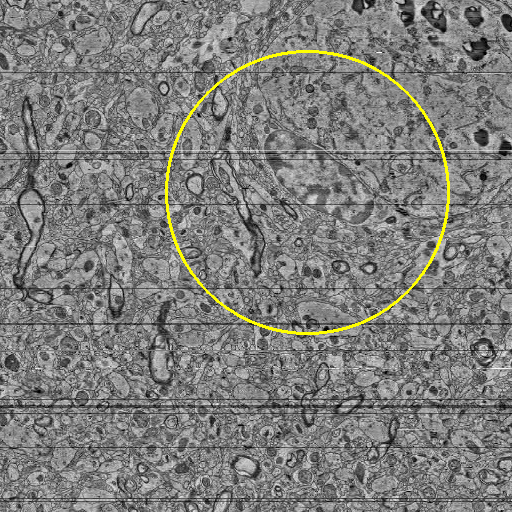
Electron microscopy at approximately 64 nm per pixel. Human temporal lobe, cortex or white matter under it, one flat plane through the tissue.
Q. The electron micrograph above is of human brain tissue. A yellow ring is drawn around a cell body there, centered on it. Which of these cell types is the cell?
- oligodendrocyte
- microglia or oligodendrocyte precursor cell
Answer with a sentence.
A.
The cell under the ring's center is a microglial cell or oligodendrocyte precursor cell.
